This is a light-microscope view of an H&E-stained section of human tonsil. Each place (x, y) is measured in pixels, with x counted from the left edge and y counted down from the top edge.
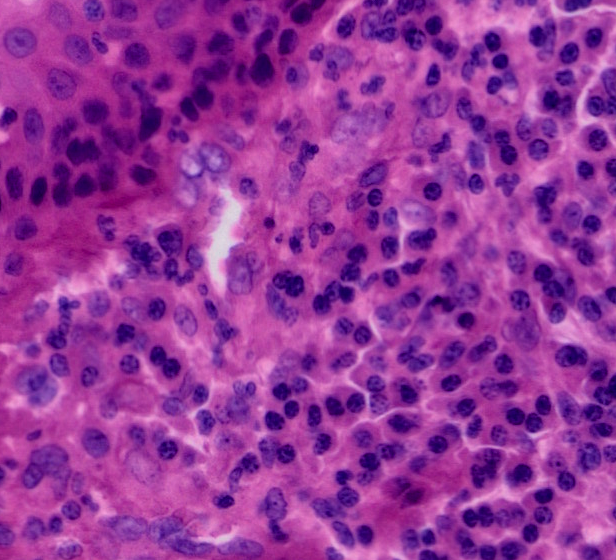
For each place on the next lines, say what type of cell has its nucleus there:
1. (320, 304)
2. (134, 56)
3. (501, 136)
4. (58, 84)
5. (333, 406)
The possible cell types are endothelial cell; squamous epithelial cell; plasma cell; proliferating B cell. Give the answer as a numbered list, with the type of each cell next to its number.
1. plasma cell
2. squamous epithelial cell
3. plasma cell
4. squamous epithelial cell
5. plasma cell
